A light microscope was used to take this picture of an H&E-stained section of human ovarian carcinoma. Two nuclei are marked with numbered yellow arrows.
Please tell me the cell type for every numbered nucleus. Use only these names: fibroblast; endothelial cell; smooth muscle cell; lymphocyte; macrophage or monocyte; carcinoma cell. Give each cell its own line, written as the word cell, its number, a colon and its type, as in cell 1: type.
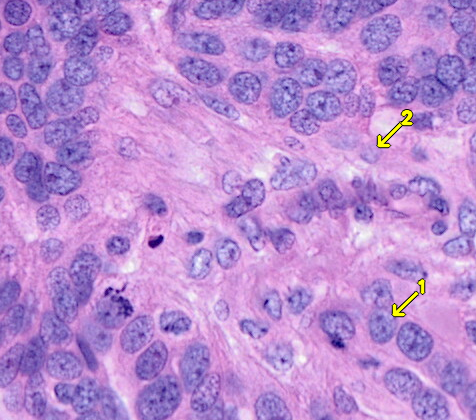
cell 1: carcinoma cell
cell 2: fibroblast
